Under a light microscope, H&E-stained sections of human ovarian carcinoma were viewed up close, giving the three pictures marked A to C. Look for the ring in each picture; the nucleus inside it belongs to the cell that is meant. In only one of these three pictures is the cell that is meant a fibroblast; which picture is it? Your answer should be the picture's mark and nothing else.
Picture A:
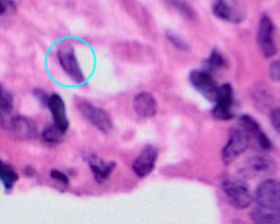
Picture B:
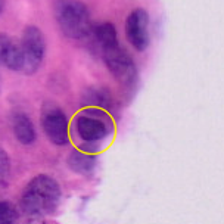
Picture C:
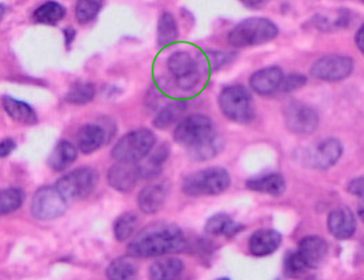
A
